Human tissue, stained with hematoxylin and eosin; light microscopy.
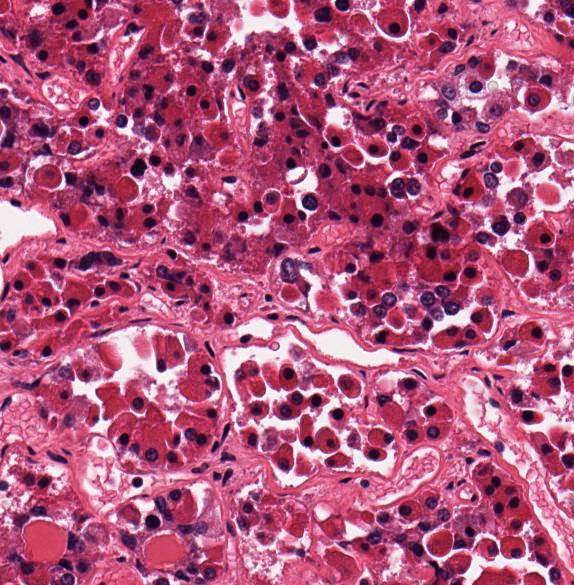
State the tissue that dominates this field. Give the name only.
pars distalis of the pituitary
